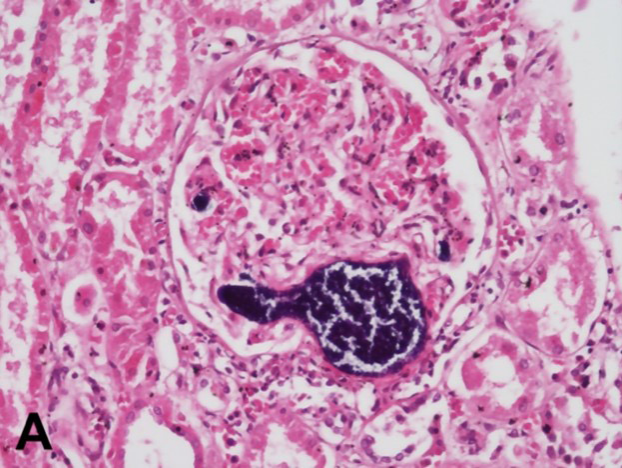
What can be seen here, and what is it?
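This is kidney cortex with a glomerulus in the centre, ringed by tubules lined with pink epithelium. At the lower edge of the glomerulus a vessel is plugged by a dense, dark purple, granular mass that takes the vessel's shape, and smaller dark purple clumps lie among the capillary loops of the tuft.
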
